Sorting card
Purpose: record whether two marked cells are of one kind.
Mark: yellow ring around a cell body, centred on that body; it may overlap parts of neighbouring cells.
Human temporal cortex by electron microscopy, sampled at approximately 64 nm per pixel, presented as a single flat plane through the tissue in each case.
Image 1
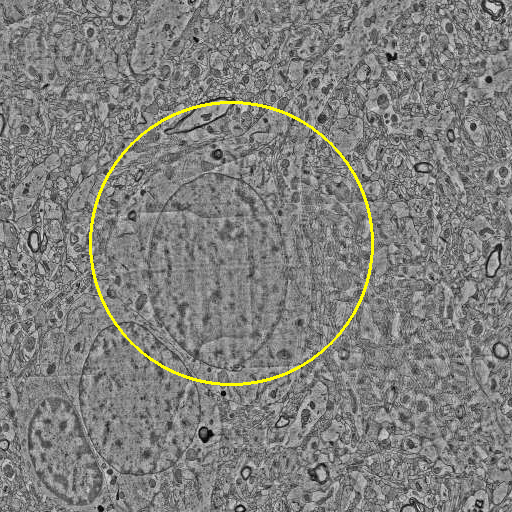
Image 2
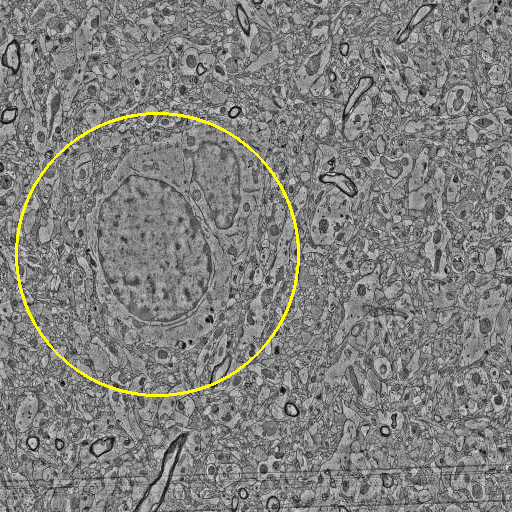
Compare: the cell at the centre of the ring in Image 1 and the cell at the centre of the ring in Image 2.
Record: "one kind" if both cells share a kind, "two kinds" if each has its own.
two kinds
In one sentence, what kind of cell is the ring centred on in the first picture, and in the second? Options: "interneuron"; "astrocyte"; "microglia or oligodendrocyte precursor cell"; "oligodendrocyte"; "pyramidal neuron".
The cell at the centre of the second ring is a microglial cell or oligodendrocyte precursor cell; the first ring's cell is a pyramidal neuron.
